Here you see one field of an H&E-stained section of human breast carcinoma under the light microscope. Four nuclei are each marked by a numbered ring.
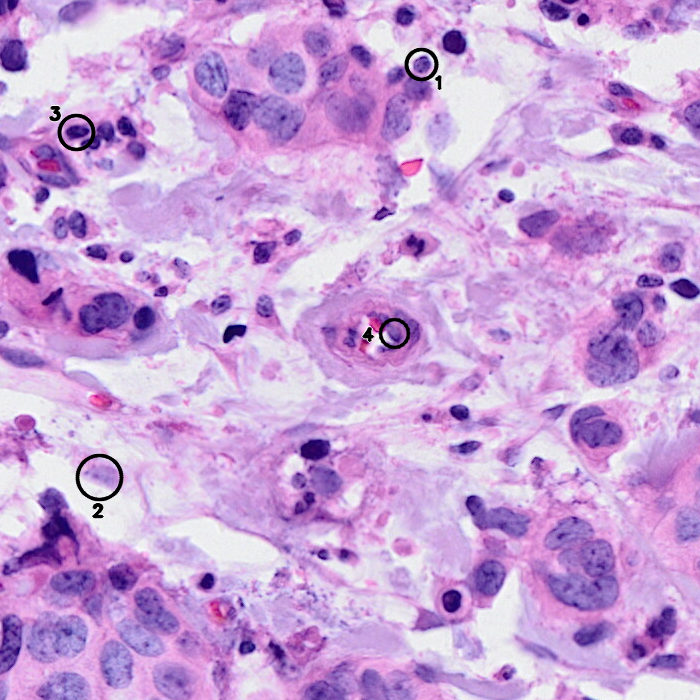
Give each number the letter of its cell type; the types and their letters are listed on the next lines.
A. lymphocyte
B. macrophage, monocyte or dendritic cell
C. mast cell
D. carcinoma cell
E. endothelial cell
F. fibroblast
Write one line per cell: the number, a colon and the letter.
1: A
2: F
3: A
4: E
